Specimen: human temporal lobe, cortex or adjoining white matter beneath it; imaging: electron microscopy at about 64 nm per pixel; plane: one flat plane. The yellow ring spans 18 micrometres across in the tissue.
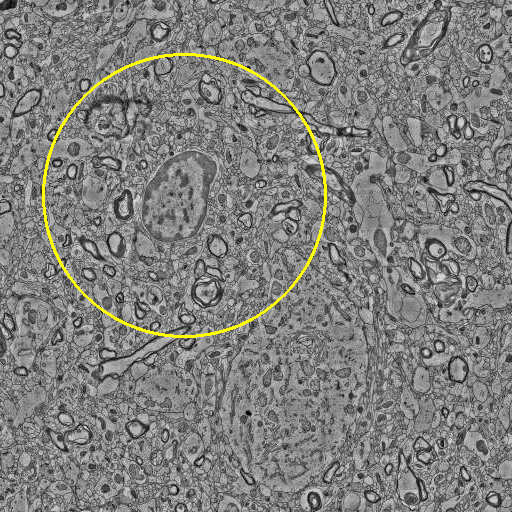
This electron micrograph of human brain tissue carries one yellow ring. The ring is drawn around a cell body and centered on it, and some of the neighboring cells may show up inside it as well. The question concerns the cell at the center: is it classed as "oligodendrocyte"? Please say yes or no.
No, it is classed as another kind.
